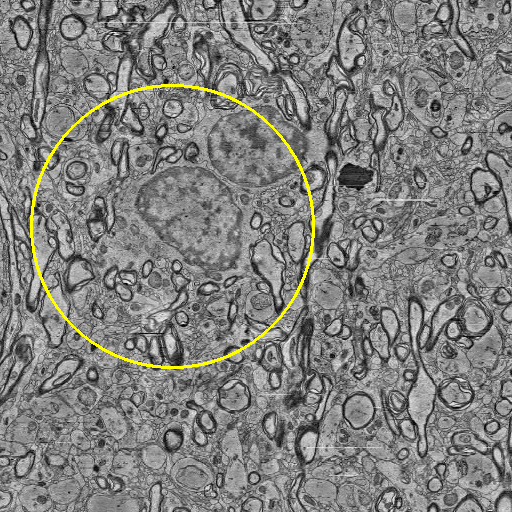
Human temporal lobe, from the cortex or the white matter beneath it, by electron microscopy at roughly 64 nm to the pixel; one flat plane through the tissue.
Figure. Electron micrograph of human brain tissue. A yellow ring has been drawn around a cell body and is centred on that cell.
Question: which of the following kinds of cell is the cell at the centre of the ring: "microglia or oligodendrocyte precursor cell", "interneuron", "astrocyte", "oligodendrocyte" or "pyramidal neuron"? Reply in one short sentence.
The cell at the centre of the ring is an oligodendrocyte.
